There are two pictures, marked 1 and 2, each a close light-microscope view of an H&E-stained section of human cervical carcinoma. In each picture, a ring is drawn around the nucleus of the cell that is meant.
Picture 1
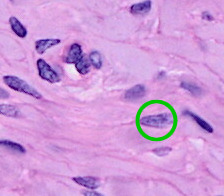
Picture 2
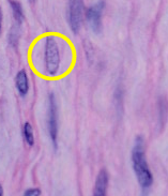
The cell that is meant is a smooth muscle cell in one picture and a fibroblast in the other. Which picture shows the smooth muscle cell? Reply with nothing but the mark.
2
